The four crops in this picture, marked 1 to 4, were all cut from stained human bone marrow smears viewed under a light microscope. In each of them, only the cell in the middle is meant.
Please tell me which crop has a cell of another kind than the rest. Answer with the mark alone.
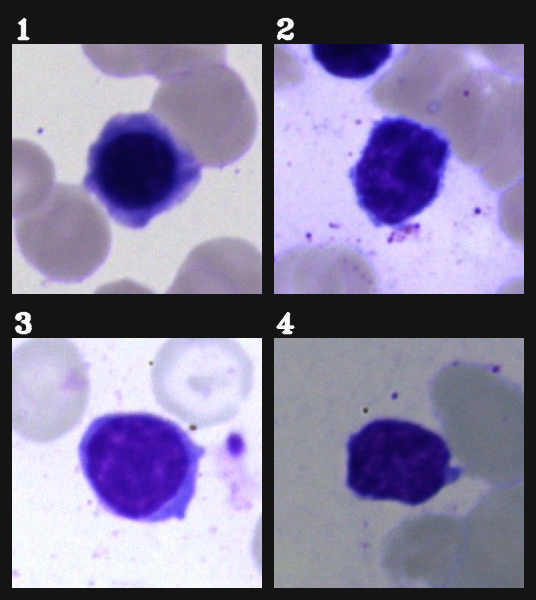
1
